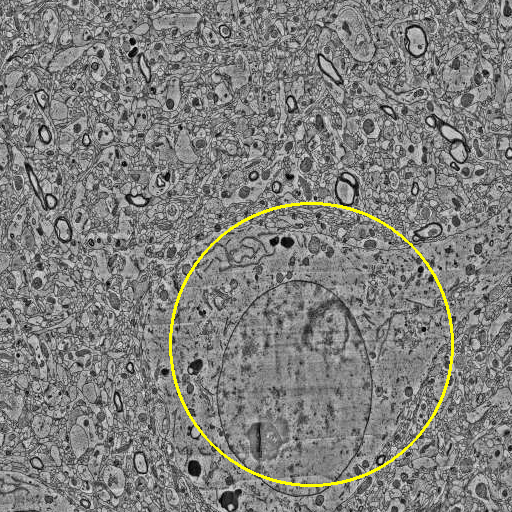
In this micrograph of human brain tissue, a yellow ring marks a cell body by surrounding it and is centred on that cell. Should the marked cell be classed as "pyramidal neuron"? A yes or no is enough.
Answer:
yes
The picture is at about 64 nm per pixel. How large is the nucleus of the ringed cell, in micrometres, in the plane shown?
Approximately 14 x 10 micrometres in this plane.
